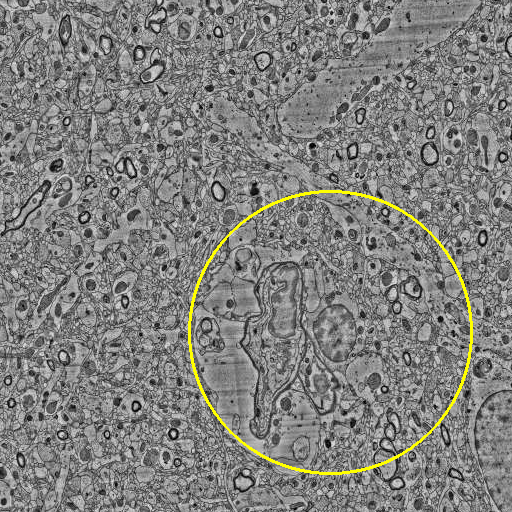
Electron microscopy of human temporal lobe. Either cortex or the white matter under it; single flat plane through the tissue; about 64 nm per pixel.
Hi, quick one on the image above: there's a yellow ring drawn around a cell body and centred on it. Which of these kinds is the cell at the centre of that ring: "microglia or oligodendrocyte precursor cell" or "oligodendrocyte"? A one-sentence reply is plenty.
The cell at the centre of the ring is an oligodendrocyte.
